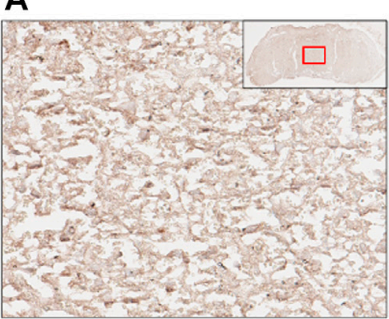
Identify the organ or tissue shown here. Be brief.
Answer: Placental labyrinth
